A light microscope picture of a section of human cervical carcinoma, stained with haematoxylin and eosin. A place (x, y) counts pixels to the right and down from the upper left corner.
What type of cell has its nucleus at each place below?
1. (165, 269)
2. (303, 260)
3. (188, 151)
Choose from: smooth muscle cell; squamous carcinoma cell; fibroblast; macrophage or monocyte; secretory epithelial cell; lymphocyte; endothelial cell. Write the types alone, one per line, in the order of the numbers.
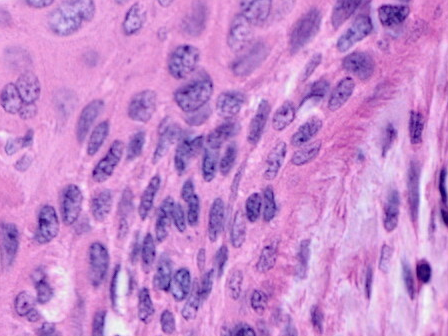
squamous carcinoma cell
fibroblast
squamous carcinoma cell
